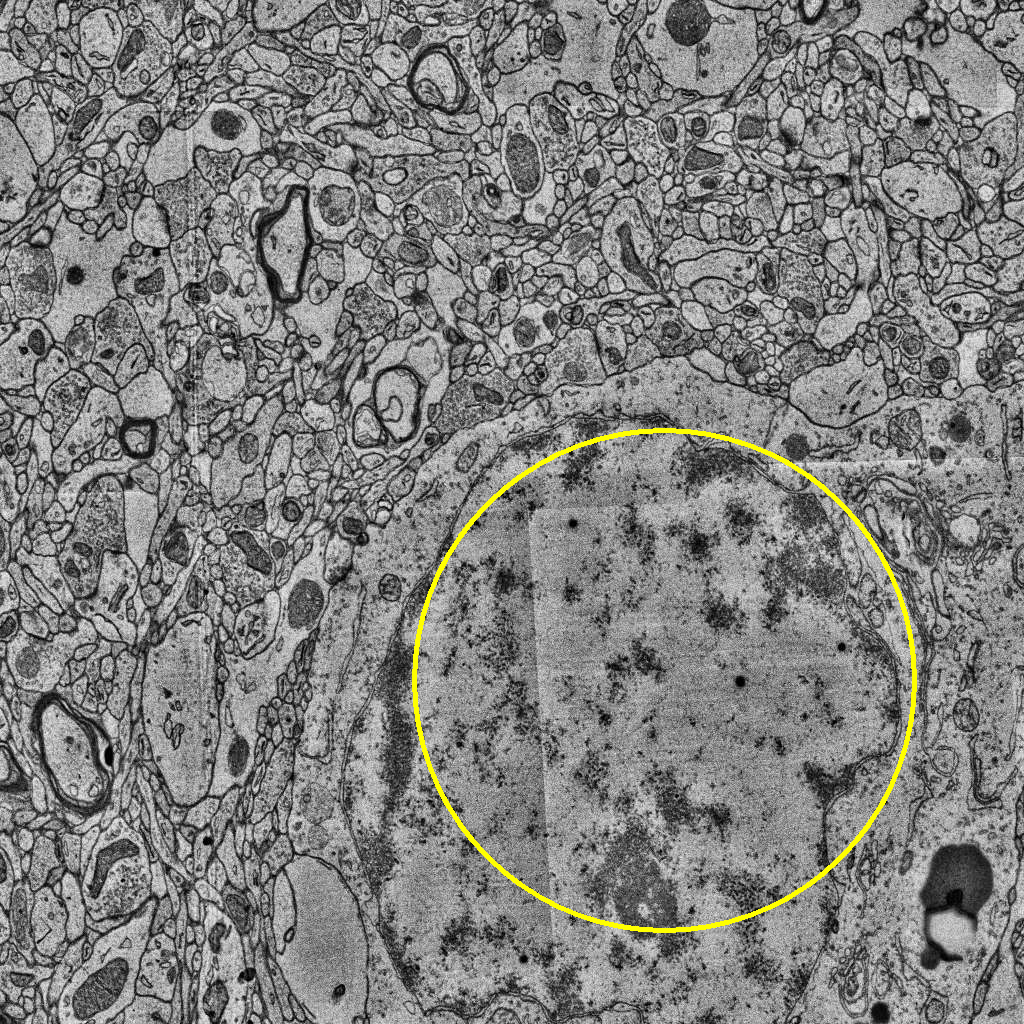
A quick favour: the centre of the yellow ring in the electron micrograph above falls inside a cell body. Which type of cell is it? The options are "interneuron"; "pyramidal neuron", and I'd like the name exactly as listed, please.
interneuron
